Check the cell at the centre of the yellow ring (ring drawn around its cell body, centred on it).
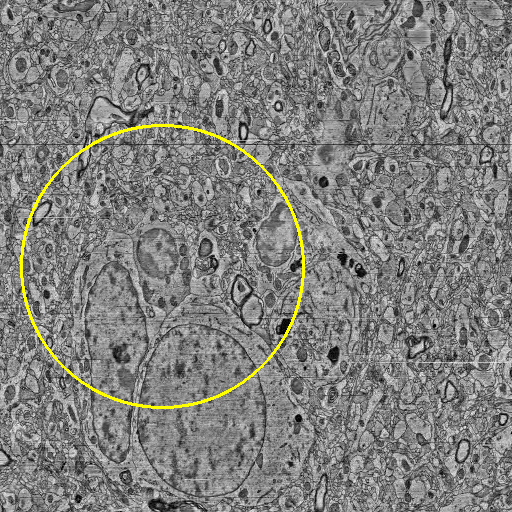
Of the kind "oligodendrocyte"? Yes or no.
yes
